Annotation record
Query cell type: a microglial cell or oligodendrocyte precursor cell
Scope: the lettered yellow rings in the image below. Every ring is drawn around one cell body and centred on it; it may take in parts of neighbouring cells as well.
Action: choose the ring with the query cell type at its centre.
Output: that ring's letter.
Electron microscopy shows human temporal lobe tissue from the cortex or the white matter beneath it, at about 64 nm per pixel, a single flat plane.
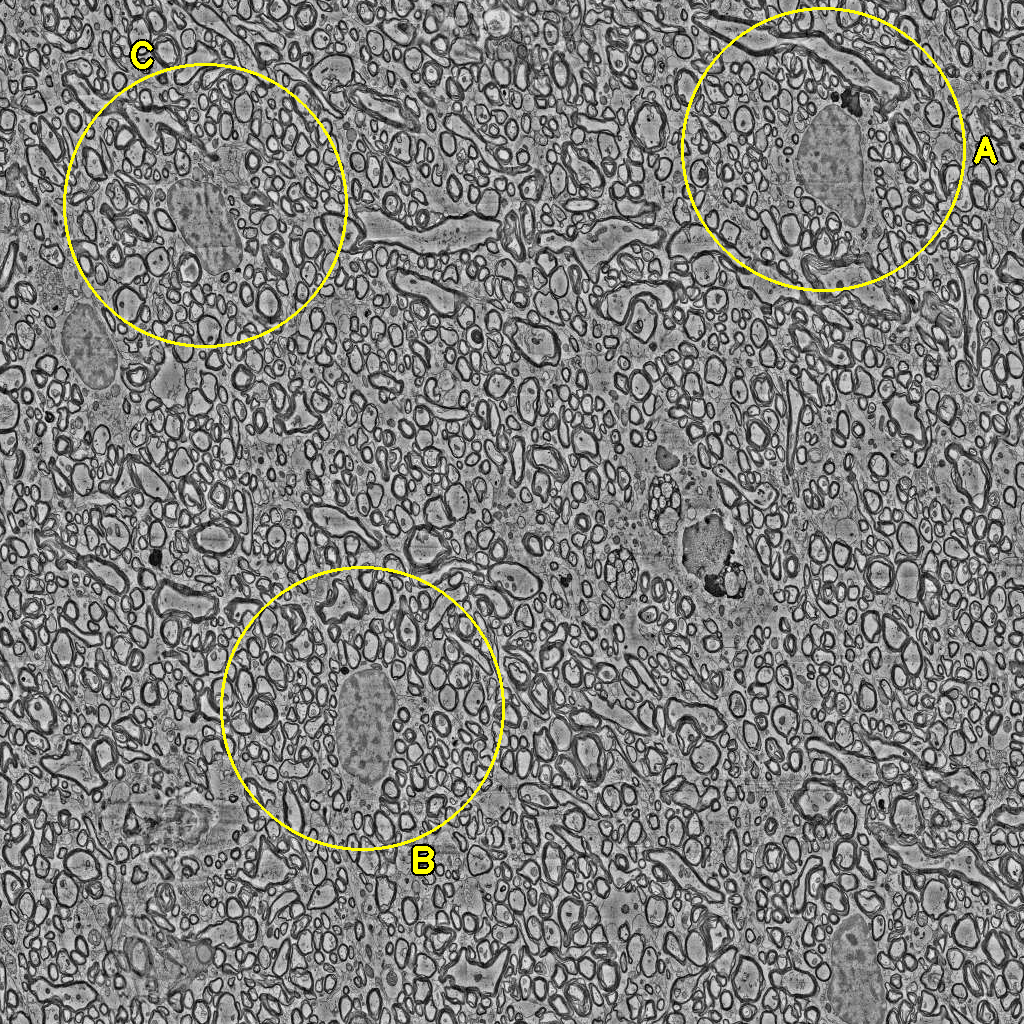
C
